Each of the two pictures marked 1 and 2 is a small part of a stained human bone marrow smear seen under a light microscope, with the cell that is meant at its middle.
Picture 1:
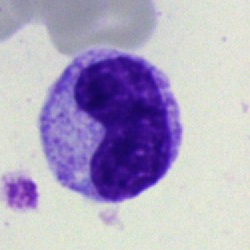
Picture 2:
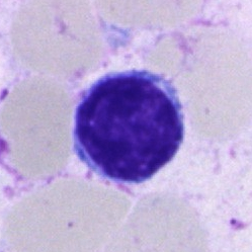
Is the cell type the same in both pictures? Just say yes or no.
no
